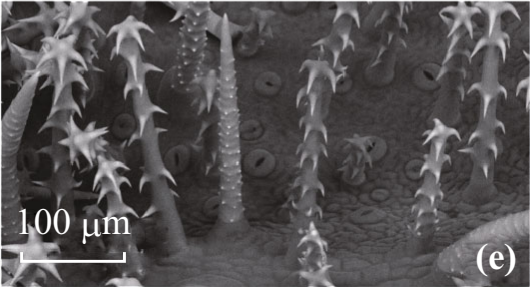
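Scanning electron view of a leaf surface bearing upright trichomes. The flat epidermis between them shows scattered small oval openings.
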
